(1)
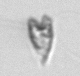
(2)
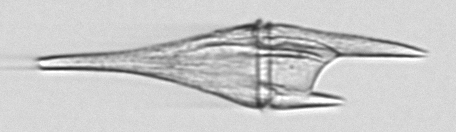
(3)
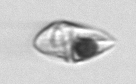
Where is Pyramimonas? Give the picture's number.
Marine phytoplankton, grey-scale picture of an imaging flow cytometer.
1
